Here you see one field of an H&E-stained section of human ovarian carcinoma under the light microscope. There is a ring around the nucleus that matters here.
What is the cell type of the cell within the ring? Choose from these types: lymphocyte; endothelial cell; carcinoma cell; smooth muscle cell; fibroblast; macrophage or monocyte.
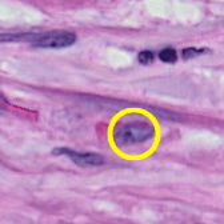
endothelial cell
